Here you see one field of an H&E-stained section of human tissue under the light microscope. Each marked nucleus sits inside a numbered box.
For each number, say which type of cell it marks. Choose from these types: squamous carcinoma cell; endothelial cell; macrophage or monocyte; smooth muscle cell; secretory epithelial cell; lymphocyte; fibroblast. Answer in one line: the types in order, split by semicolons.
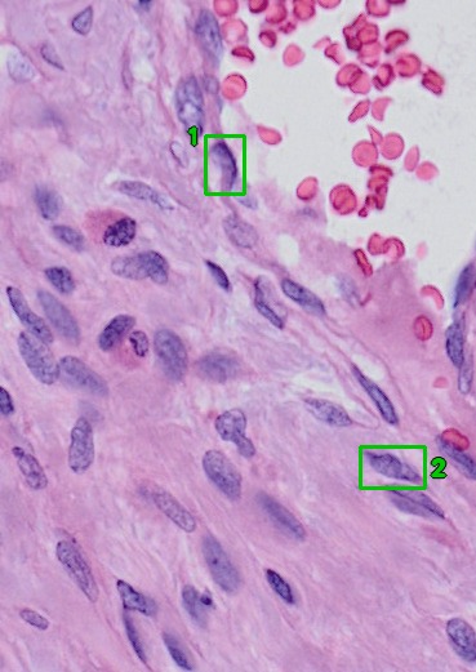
endothelial cell; fibroblast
